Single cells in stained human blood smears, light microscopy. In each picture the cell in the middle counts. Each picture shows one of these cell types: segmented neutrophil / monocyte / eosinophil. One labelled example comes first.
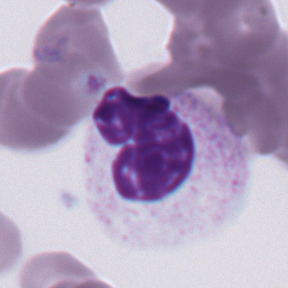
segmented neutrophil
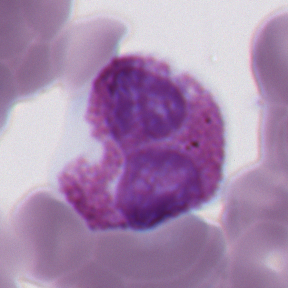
eosinophil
